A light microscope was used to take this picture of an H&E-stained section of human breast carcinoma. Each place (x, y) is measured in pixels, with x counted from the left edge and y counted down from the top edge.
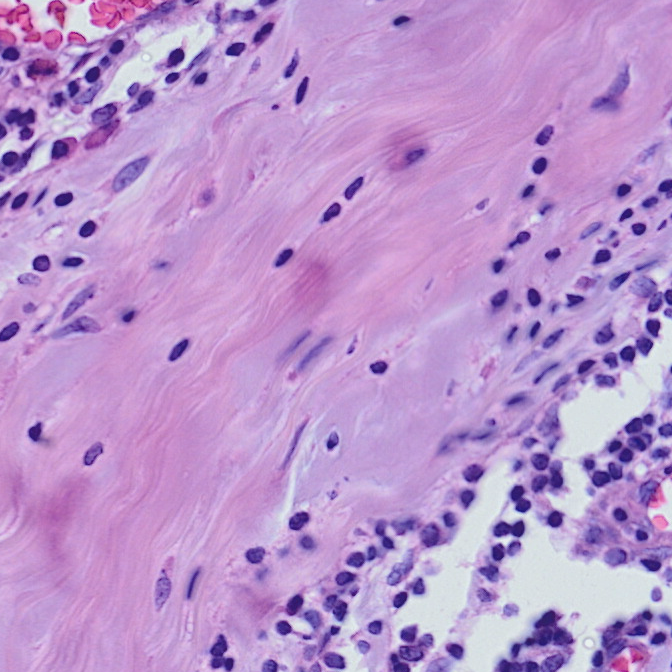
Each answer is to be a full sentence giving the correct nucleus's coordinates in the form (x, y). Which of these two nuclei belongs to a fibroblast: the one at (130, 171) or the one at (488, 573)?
The correct choice is the nucleus at (130, 171), which belongs to a fibroblast.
